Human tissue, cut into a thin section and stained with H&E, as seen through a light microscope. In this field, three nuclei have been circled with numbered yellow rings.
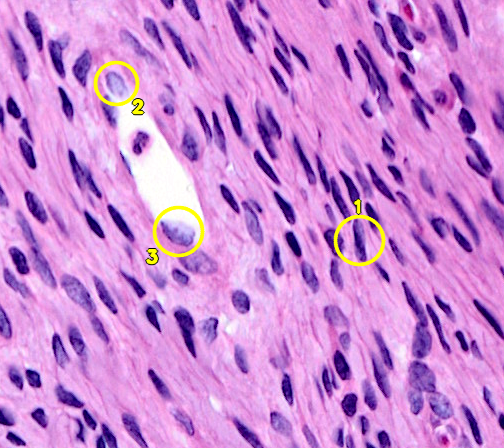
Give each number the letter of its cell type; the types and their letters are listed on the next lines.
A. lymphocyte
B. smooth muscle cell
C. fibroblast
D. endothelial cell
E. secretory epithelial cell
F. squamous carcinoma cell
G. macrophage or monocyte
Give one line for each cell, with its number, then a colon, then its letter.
1: C
2: D
3: D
